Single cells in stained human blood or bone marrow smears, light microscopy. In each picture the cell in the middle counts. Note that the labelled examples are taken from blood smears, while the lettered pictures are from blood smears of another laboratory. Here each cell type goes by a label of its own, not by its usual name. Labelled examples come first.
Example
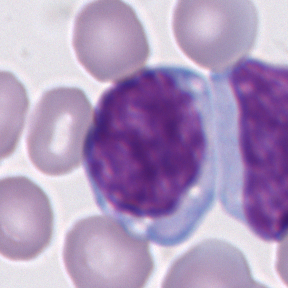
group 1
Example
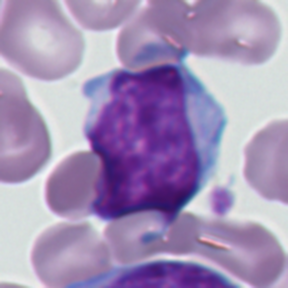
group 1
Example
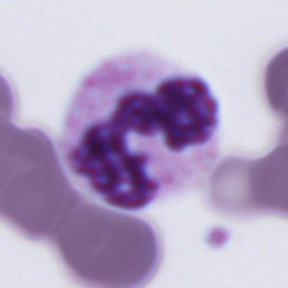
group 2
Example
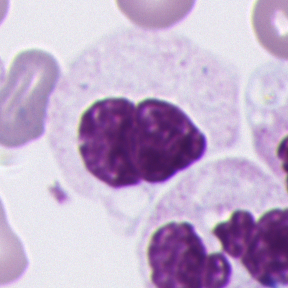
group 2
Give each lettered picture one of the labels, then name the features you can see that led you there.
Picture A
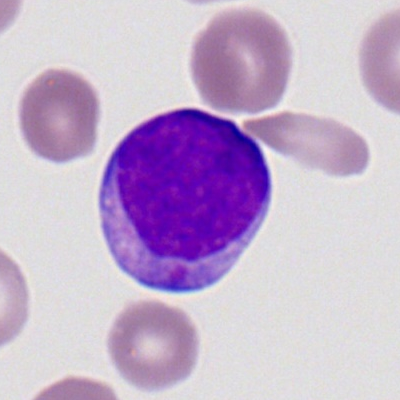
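group 1: The nucleus fills most of the cell and sits toward its upper right.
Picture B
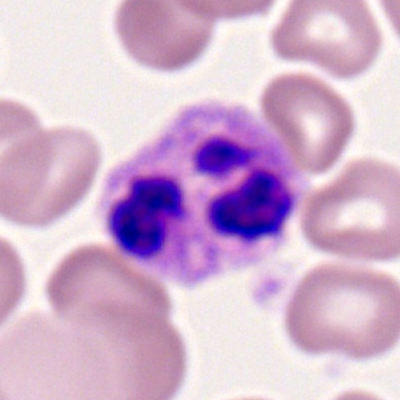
group 2: The nucleus is divided into three separate lobes.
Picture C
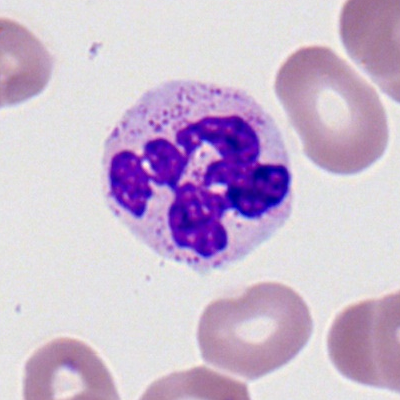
group 2: The nucleus is divided into several separate lobes.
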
